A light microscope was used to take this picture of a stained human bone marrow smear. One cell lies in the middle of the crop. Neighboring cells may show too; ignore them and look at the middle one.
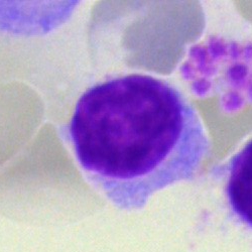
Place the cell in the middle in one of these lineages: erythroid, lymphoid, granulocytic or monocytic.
lymphoid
